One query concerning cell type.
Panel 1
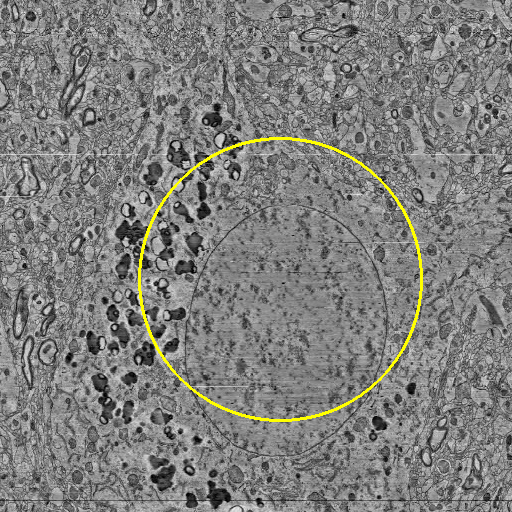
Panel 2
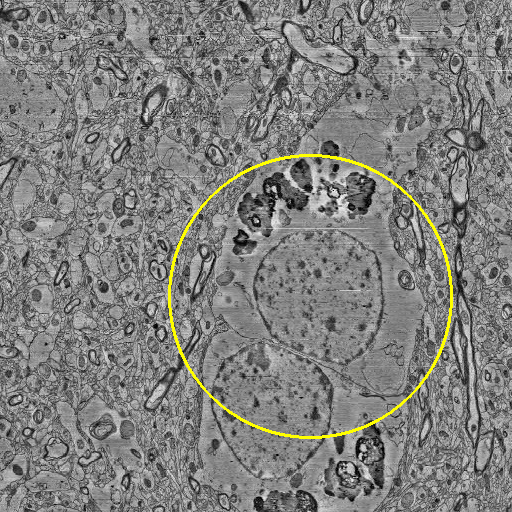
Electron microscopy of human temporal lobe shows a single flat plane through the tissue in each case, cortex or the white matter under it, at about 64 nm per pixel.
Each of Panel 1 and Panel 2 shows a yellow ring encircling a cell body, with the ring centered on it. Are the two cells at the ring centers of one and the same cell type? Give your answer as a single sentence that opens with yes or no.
No, the cell centered in Panel 1 and the one in Panel 2 are of two types.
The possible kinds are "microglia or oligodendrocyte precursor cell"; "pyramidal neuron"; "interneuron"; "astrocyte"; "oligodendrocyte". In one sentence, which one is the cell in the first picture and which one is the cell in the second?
The cell ringed in the second picture is an astrocyte, whereas the one ringed in the first is a pyramidal neuron.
